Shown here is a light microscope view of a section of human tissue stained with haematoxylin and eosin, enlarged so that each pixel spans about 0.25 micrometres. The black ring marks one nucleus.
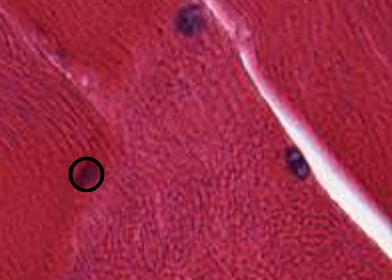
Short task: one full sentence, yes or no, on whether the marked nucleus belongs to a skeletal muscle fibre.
Yes, the marked nucleus is a nucleus of a skeletal muscle fibre.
